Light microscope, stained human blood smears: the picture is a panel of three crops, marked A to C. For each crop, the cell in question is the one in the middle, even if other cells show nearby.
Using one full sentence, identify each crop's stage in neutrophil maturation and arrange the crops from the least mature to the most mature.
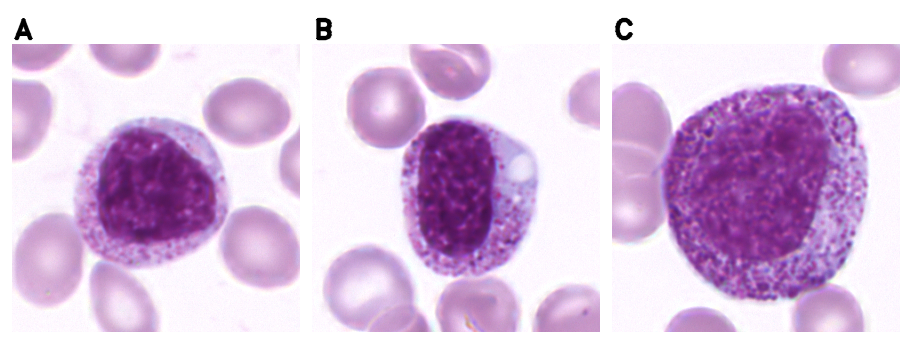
Ordered by maturity, from least to most, the crops are crop C (a promyelocyte), crop A (a myelocyte) and crop B (a metamyelocyte).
